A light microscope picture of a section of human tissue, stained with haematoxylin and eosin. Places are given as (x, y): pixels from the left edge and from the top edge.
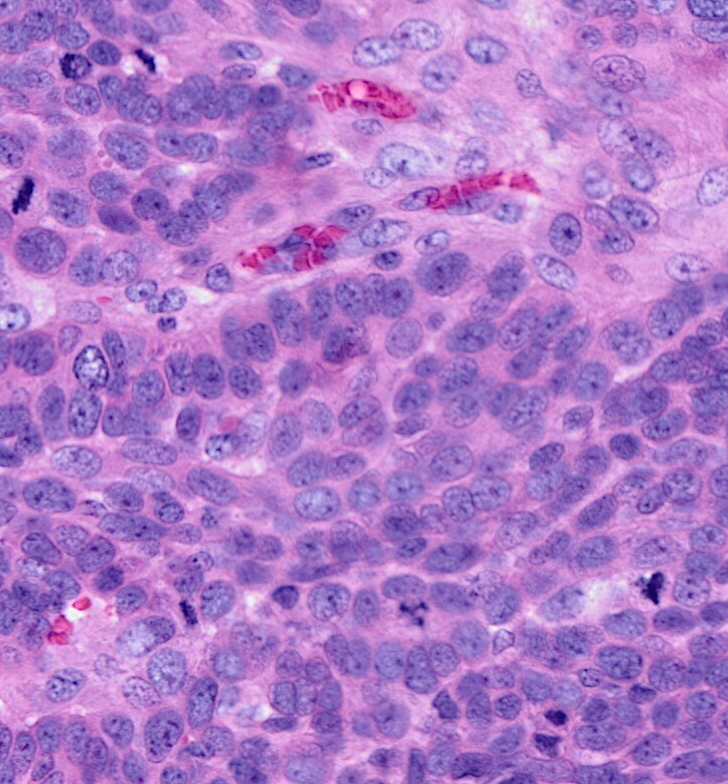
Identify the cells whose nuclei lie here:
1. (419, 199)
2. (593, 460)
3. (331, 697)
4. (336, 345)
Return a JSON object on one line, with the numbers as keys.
{"1": "endothelial cell", "2": "carcinoma cell", "3": "carcinoma cell", "4": "carcinoma cell"}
